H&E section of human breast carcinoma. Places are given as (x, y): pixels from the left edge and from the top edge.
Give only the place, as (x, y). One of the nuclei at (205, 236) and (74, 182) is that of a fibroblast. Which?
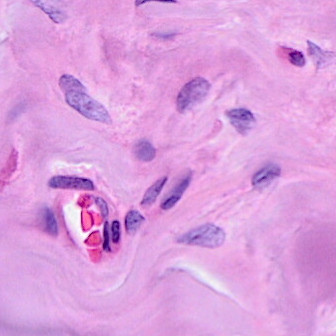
(205, 236)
